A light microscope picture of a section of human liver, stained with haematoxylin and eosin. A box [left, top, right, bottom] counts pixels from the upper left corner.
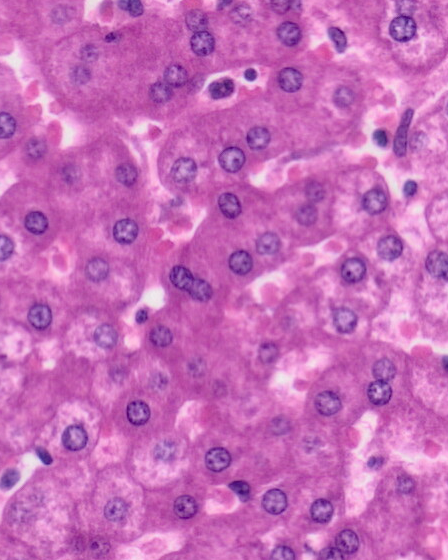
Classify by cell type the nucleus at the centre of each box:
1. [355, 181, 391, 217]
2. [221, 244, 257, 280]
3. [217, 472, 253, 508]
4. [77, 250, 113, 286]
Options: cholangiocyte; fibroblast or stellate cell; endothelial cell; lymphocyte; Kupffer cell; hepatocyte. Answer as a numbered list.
1. hepatocyte
2. hepatocyte
3. endothelial cell
4. hepatocyte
